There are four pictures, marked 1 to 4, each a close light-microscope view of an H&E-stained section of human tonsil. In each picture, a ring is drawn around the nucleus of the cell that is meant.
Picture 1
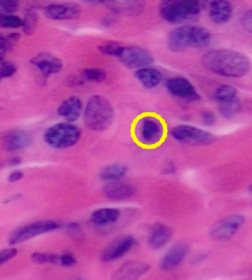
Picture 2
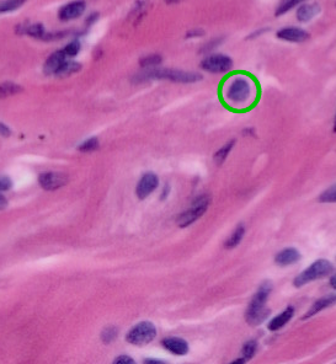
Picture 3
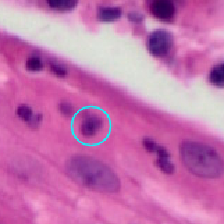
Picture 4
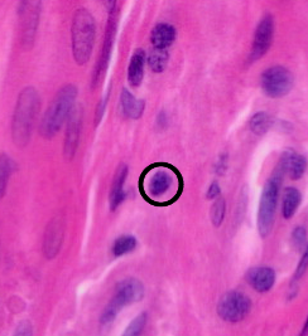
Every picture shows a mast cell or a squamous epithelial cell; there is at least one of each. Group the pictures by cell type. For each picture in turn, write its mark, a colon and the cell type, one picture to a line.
1: mast cell
2: mast cell
3: squamous epithelial cell
4: mast cell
